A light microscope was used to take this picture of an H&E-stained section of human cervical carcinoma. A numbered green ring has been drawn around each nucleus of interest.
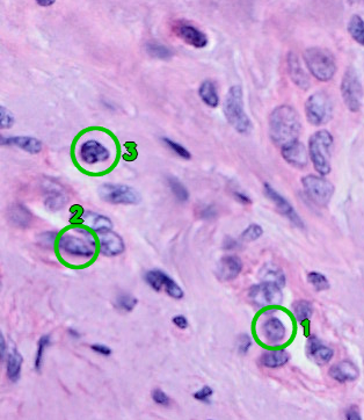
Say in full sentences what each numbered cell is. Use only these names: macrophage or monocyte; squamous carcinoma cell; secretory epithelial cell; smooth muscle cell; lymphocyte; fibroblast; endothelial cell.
Cell 1 is an endothelial cell, cell 2 is an endothelial cell and cell 3 is a lymphocyte.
